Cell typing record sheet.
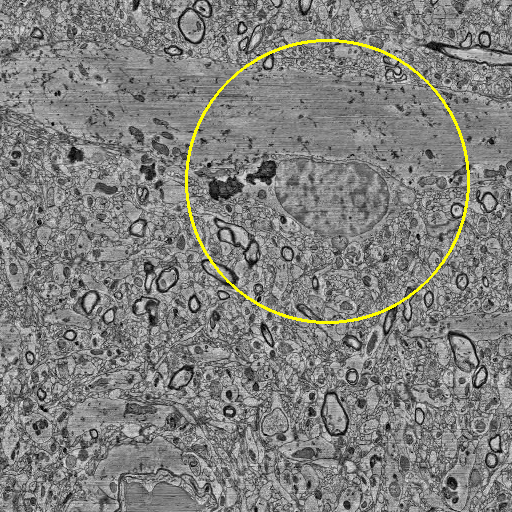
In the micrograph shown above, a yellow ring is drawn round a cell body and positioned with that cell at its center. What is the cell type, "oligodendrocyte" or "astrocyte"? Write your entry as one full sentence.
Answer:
The cell body at the center of the ring belongs to an oligodendrocyte.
